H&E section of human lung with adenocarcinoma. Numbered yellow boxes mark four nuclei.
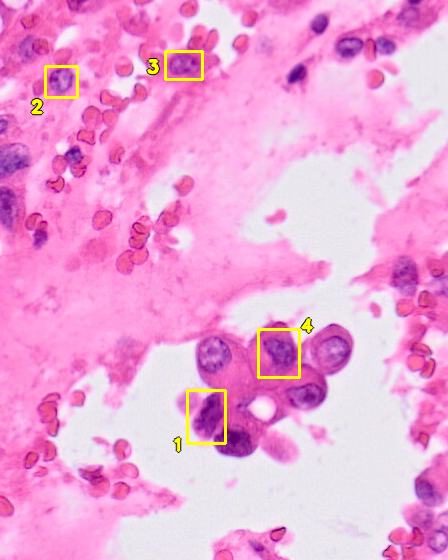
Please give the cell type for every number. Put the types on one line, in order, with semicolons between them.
carcinoma cell; macrophage or monocyte; macrophage or monocyte; carcinoma cell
